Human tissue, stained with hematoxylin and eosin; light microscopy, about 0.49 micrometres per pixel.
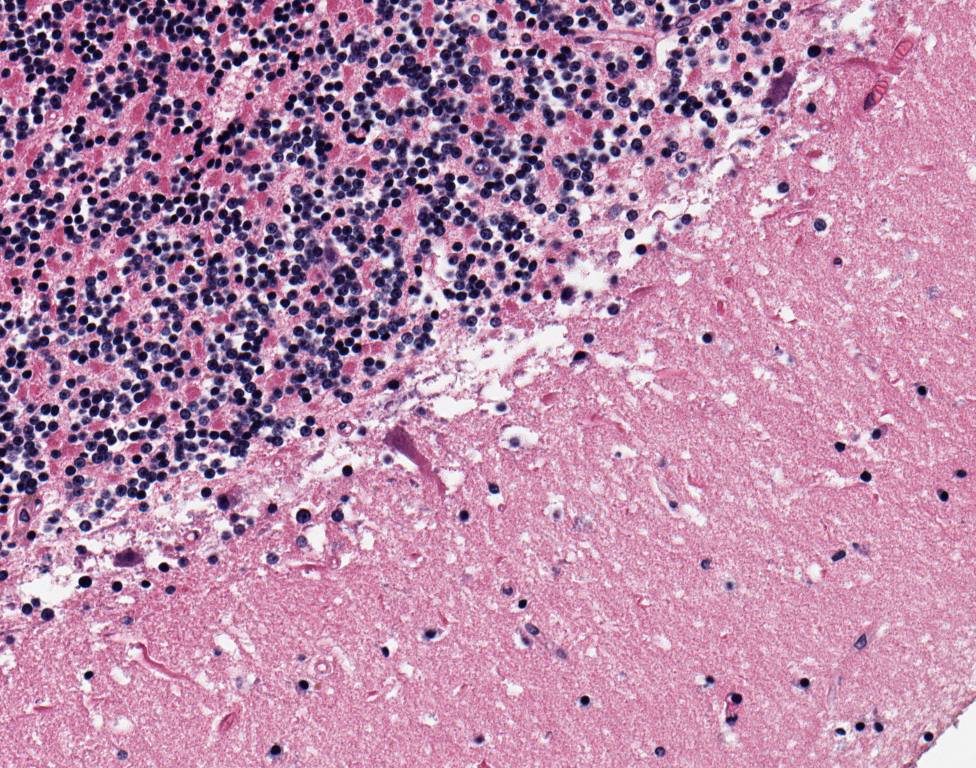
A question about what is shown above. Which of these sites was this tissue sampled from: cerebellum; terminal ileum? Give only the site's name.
cerebellum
